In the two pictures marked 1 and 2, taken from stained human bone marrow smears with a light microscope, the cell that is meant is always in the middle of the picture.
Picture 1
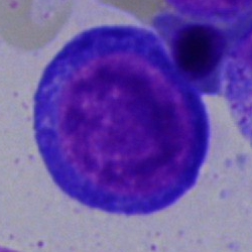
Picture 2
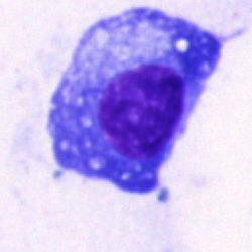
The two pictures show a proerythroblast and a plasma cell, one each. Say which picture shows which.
1: proerythroblast
2: plasma cell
